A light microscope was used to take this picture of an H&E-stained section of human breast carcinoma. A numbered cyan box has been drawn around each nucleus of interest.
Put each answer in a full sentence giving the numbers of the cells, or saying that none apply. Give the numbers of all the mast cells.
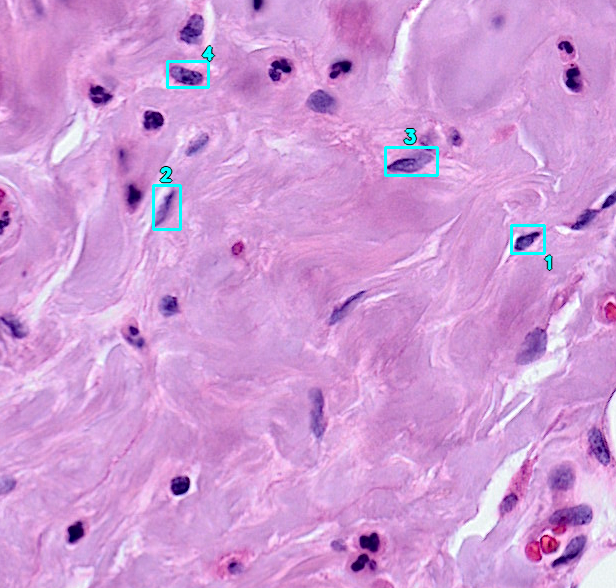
No marked cell except number 4 is a mast cell.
